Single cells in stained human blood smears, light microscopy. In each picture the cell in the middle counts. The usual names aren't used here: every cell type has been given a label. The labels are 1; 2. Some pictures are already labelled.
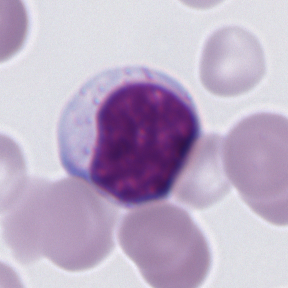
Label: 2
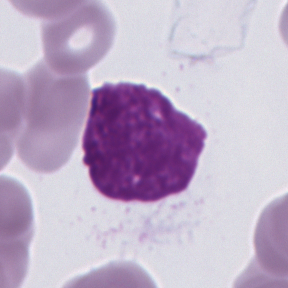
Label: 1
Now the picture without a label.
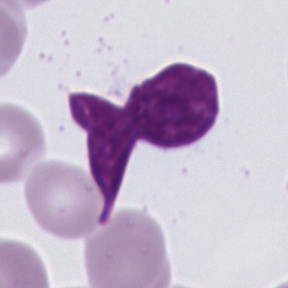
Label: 1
